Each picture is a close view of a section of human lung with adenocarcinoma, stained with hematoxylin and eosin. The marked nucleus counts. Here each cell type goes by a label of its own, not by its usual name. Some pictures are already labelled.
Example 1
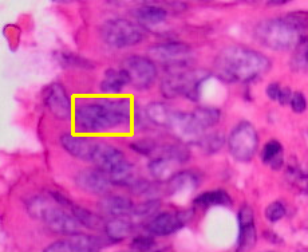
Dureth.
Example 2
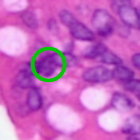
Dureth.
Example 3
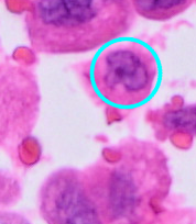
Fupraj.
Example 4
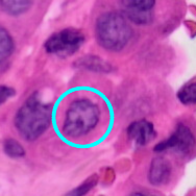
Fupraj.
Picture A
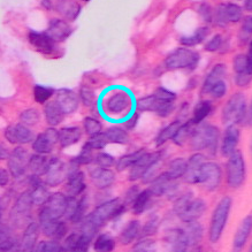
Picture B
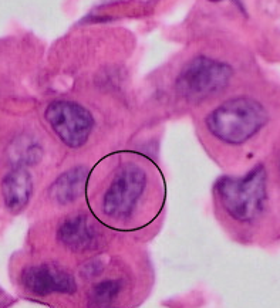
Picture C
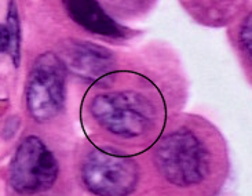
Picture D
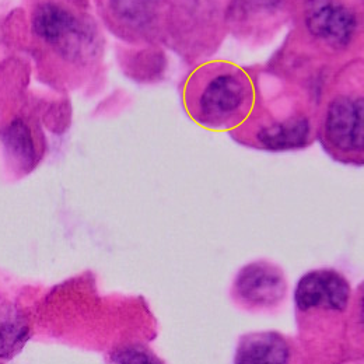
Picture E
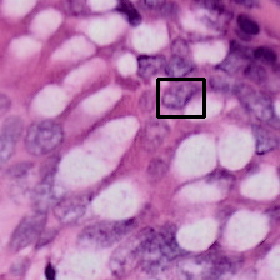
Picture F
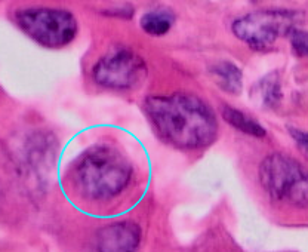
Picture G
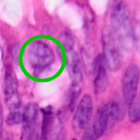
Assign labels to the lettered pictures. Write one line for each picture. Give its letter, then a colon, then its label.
A: Dureth.
B: Fupraj.
C: Fupraj.
D: Fupraj.
E: Dureth.
F: Fupraj.
G: Dureth.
